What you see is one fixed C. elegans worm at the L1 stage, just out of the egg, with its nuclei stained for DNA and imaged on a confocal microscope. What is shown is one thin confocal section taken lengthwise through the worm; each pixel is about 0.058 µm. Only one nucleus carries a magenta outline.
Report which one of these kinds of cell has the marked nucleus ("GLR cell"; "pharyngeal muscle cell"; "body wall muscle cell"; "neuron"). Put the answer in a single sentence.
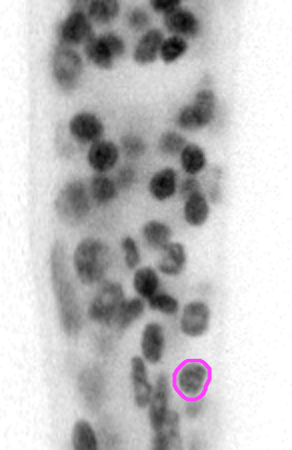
The marked nucleus is that of a body wall muscle cell.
